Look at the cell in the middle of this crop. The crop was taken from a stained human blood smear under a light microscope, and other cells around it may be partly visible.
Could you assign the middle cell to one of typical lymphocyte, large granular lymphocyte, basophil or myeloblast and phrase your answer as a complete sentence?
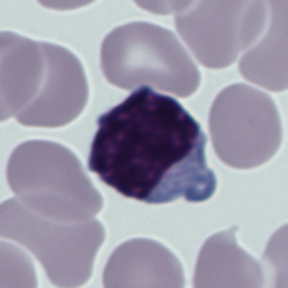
The middle cell in this particular crop is a typical lymphocyte.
